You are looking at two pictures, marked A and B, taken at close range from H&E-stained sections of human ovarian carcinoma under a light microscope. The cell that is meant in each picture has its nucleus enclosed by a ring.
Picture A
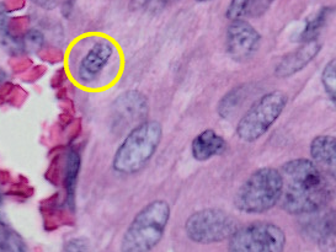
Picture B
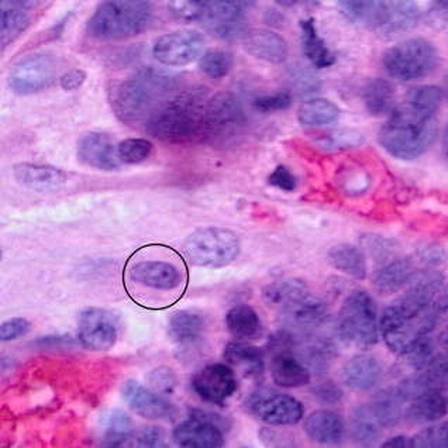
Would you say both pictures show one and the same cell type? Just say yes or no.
yes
